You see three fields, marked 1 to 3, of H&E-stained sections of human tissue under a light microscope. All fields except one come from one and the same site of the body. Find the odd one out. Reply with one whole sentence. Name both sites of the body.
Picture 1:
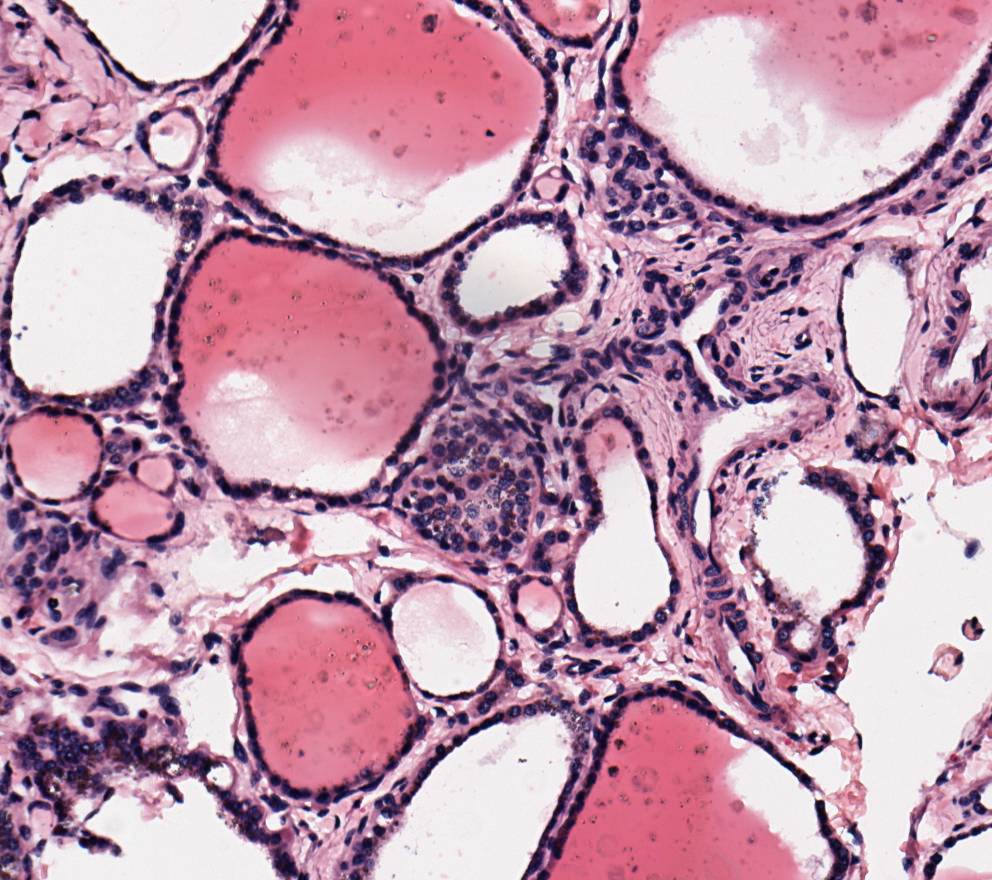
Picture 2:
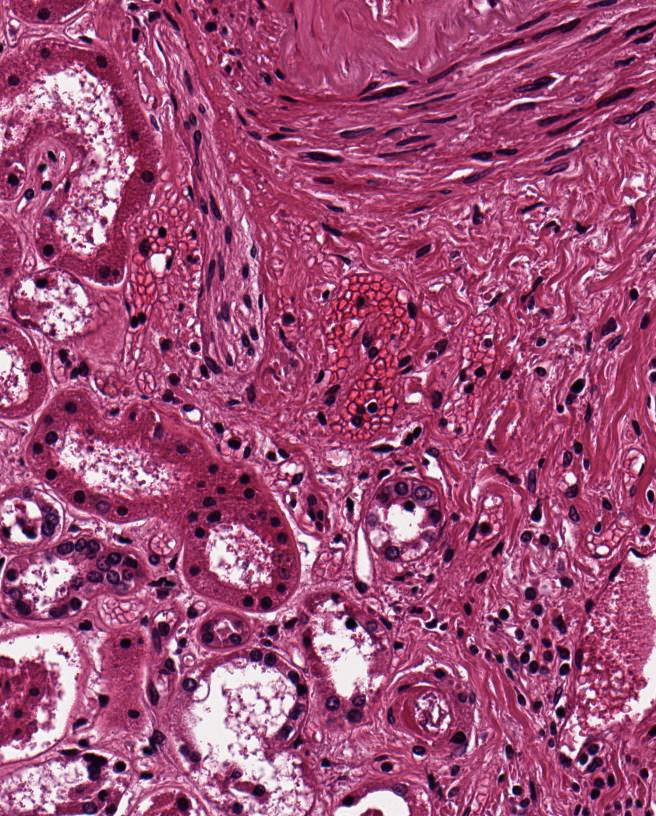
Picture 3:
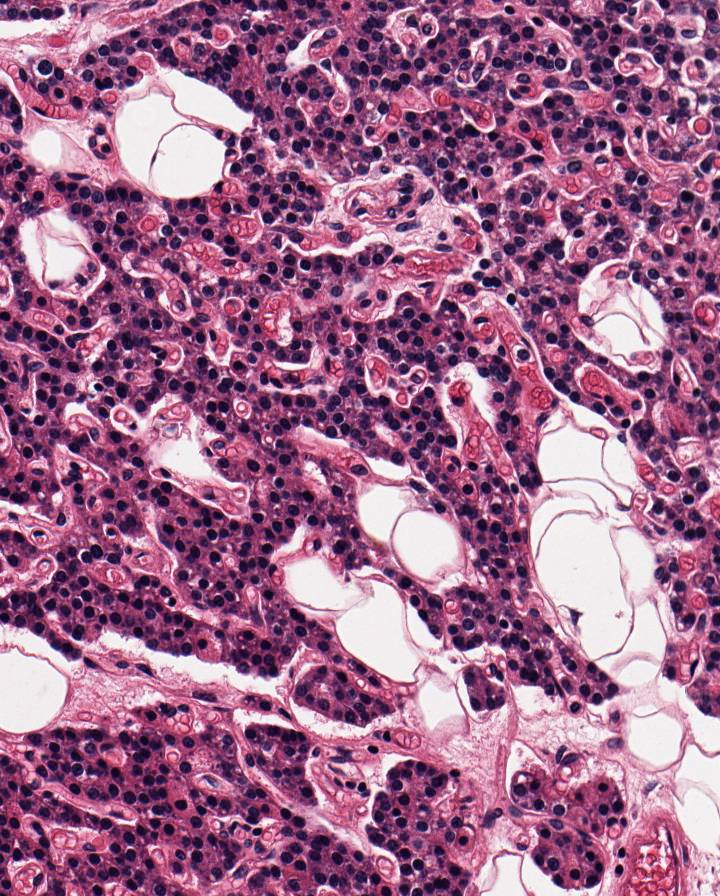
The others come from the thyroid, but picture 2 comes from the renal medulla.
